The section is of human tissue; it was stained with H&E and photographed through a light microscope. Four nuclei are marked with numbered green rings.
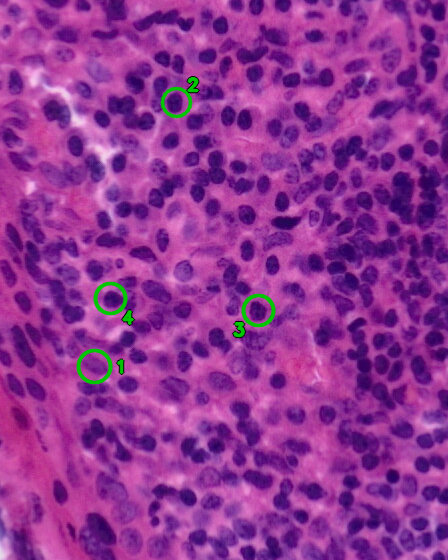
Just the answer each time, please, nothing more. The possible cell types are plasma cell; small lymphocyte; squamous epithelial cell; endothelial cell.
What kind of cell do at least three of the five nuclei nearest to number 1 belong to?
squamous epithelial cell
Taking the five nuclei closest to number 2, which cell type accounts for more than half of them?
plasma cell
